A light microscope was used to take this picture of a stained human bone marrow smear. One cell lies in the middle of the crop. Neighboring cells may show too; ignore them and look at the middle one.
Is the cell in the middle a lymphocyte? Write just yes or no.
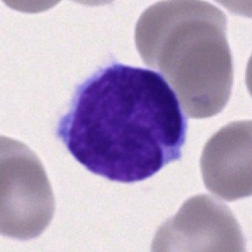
yes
